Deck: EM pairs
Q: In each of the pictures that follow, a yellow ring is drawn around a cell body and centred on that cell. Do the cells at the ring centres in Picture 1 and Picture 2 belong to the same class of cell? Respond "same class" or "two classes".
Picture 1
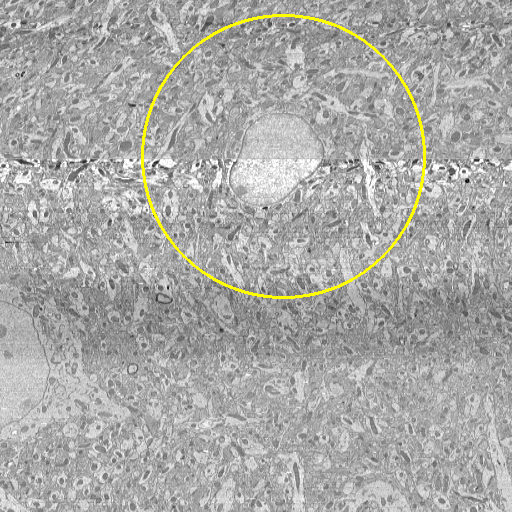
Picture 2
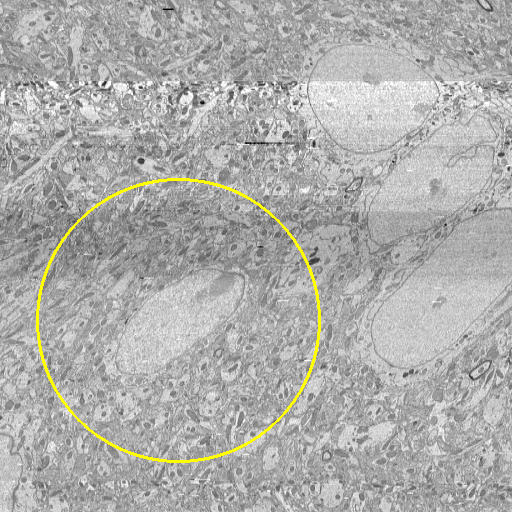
same class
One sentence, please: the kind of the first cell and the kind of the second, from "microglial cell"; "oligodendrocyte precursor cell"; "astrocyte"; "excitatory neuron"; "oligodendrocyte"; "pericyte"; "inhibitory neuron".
Each one of the two ringed cells is an astrocyte.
